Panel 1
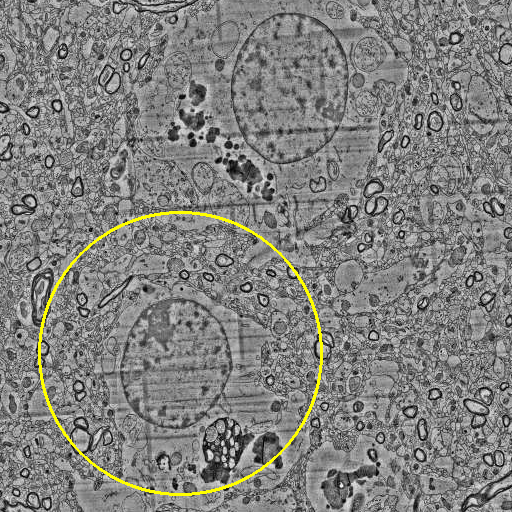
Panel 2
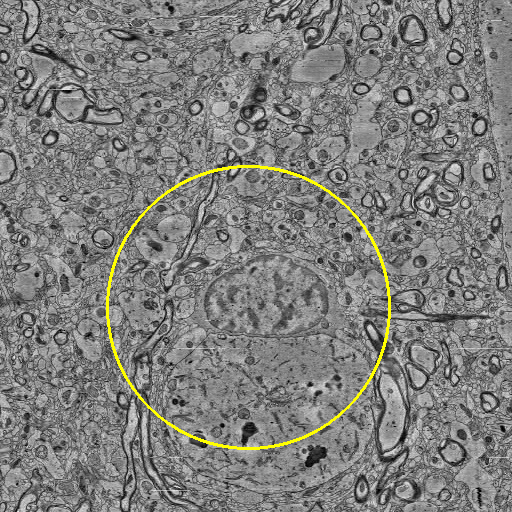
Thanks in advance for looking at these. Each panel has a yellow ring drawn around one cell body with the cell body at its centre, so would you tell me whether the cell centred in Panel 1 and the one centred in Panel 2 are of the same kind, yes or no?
no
